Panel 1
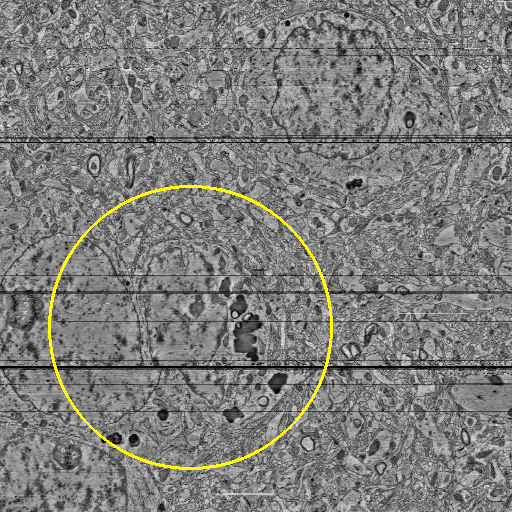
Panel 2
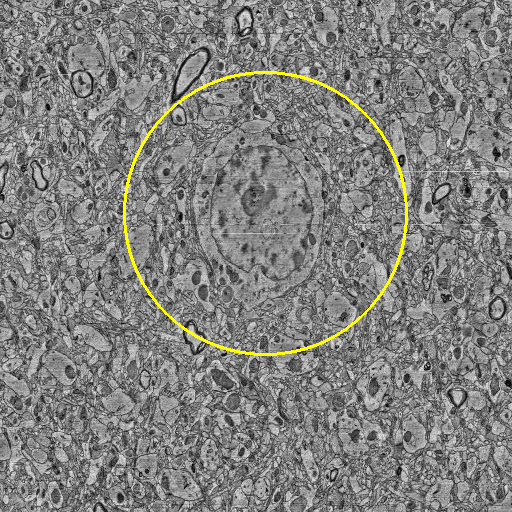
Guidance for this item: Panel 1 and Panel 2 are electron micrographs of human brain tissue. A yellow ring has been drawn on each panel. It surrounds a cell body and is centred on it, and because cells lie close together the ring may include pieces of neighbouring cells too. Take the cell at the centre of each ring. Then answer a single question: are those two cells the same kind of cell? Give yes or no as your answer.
yes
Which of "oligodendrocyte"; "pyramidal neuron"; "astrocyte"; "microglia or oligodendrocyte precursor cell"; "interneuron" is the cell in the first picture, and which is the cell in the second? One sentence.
Both cells are the same kind, each one being an interneuron.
